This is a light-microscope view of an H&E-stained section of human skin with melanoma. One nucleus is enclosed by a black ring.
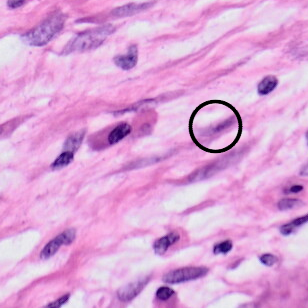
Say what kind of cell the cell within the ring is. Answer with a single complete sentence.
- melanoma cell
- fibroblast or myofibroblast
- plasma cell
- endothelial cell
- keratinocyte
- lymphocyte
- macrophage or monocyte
So far as cell type goes, the cell within the ring is a fibroblast or myofibroblast.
